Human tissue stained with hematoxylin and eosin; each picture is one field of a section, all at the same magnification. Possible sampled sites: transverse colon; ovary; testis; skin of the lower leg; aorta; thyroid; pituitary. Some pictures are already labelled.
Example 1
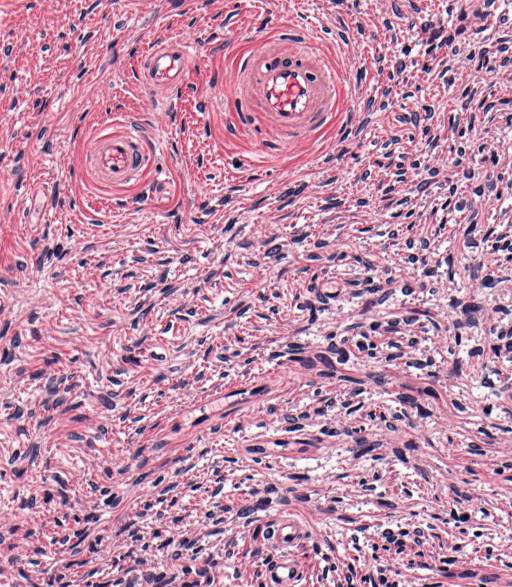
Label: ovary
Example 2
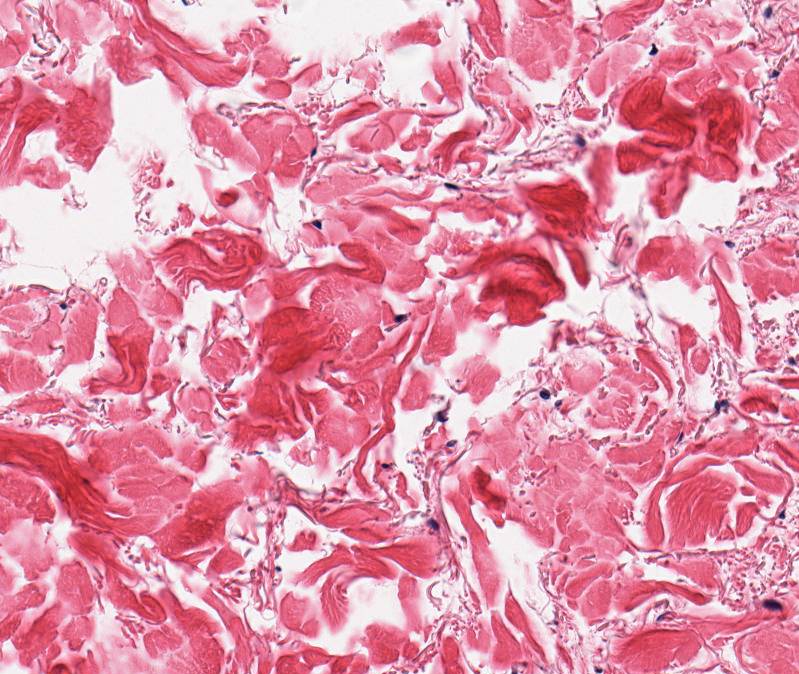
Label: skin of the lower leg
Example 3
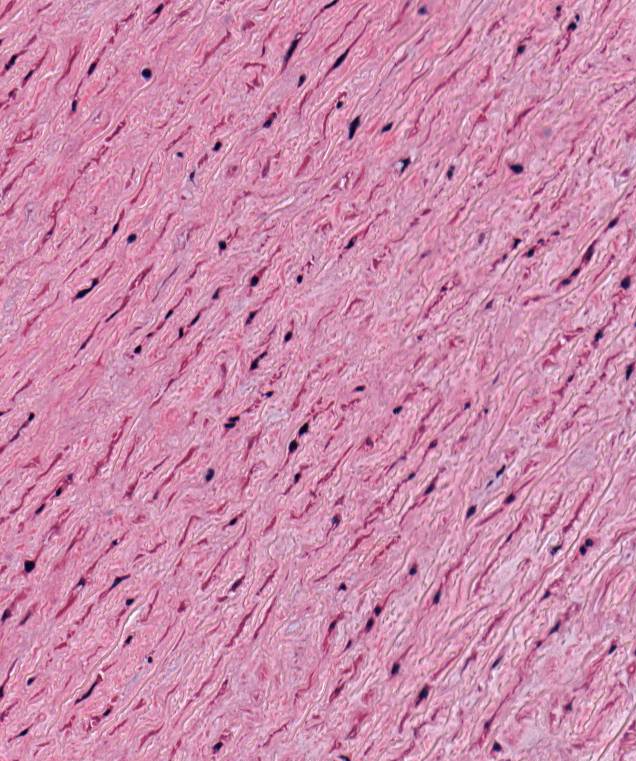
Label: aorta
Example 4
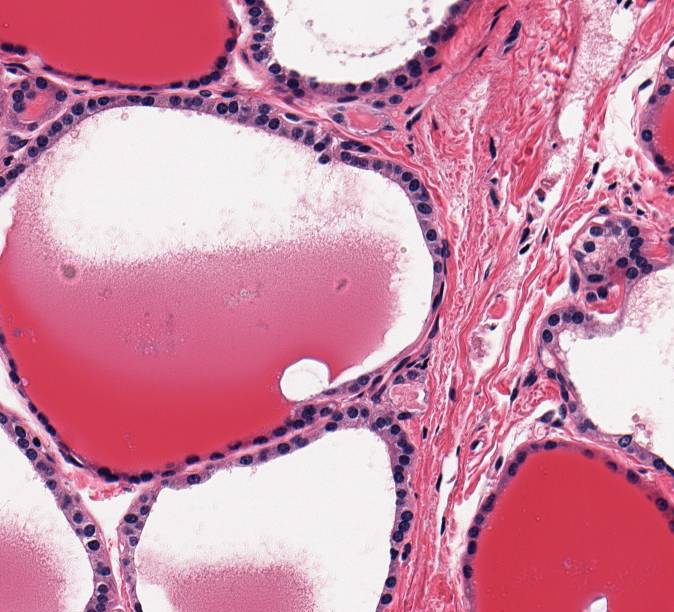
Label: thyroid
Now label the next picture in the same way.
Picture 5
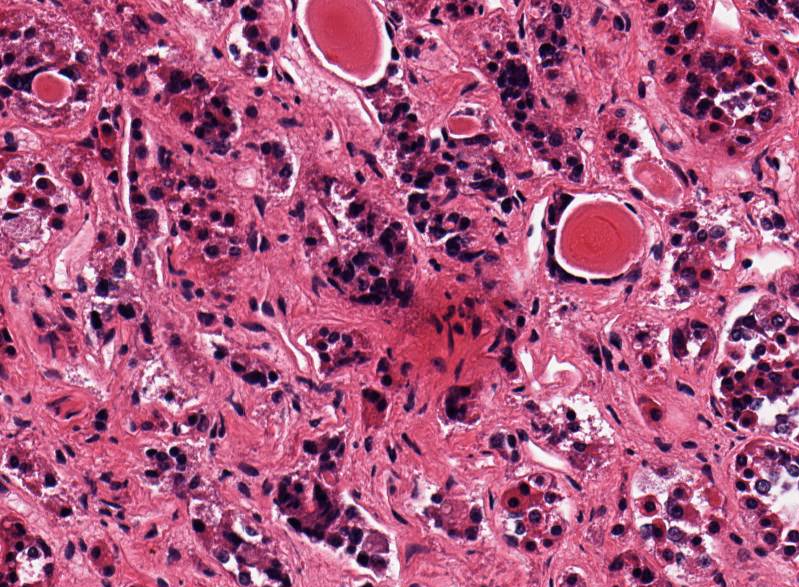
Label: pituitary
